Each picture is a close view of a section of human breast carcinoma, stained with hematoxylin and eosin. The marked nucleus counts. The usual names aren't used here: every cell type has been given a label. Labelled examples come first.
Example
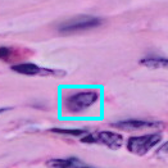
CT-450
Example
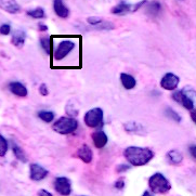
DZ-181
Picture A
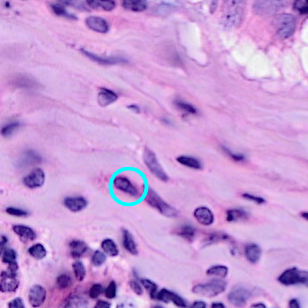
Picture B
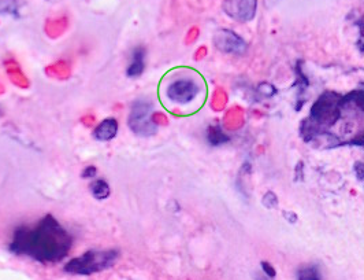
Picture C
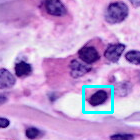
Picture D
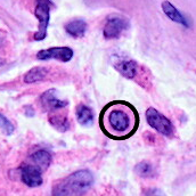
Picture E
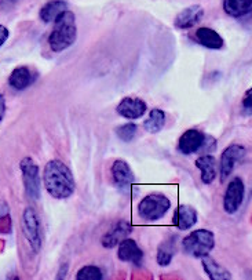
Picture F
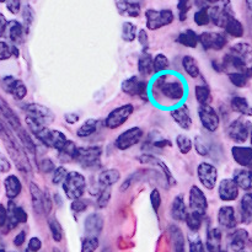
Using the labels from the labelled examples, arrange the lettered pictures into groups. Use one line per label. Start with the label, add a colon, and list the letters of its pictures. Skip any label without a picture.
CT-450: A, D
DZ-181: B, C, E, F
